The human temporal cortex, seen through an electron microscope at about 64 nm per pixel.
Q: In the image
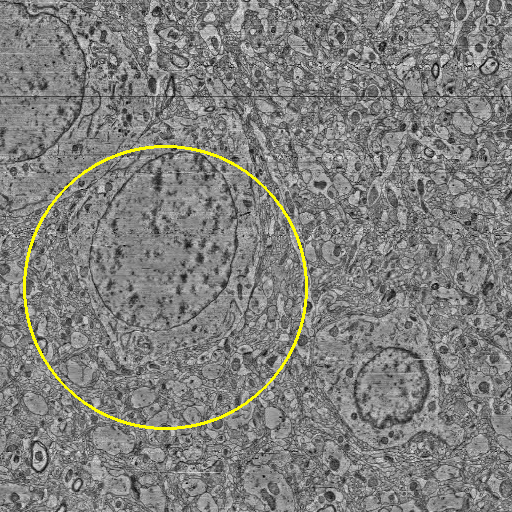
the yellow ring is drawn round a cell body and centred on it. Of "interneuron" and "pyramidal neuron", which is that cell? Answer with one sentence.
The cell centred in the ring is a pyramidal neuron.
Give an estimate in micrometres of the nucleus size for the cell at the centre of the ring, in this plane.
Roughly 12 by 9 micrometres in this plane, for the nucleus of the ringed cell.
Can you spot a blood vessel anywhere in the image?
No, no vessel shows anywhere in the image.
